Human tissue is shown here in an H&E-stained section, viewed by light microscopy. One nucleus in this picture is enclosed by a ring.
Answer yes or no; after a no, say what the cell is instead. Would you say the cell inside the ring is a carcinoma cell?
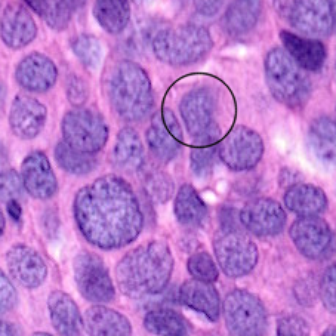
Yes.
